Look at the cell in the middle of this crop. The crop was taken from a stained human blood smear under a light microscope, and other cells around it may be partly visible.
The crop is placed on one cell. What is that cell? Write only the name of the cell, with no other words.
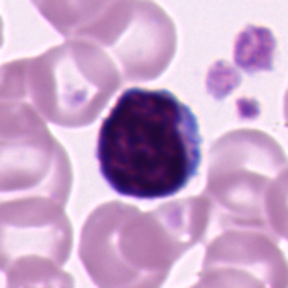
typical lymphocyte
